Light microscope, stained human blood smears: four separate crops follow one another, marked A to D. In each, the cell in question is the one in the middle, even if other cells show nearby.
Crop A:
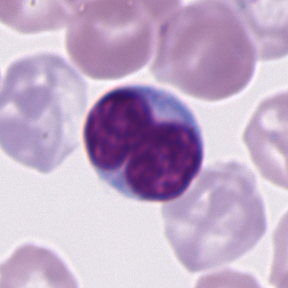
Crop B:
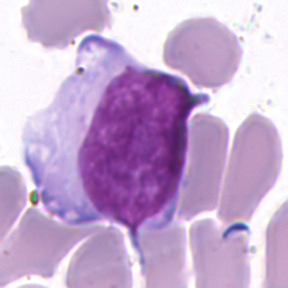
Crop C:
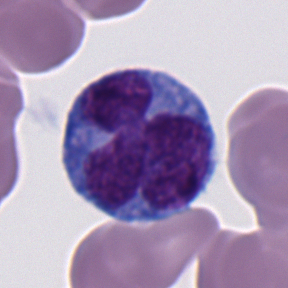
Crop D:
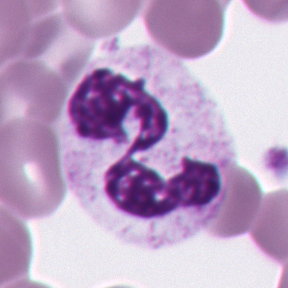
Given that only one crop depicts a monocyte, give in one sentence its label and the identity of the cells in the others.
The central cell of crop C is identified as a monocyte, while crop A is a typical lymphocyte, crop B is a plasma cell and crop D is a segmented neutrophil.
